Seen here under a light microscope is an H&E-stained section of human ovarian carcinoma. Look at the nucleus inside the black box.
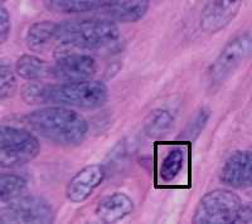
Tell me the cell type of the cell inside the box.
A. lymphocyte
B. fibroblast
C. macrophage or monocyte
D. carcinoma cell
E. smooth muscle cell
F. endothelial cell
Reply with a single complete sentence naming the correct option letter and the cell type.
Option A is right, and the cell inside the box is a lymphocyte.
